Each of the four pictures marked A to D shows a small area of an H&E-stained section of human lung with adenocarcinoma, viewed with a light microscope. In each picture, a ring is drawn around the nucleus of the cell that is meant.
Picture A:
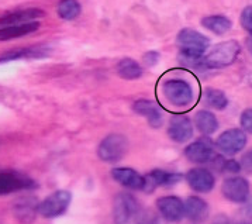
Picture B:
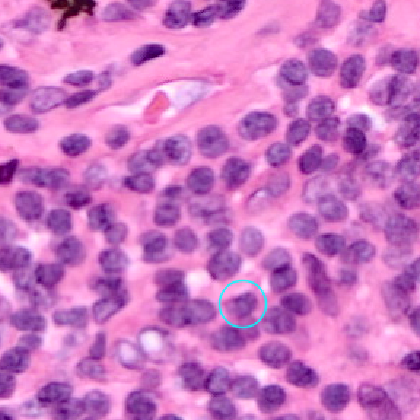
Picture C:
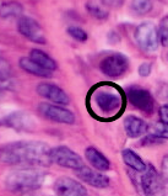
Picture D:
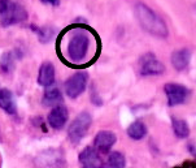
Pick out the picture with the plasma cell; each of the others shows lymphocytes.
C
